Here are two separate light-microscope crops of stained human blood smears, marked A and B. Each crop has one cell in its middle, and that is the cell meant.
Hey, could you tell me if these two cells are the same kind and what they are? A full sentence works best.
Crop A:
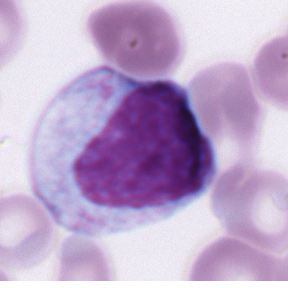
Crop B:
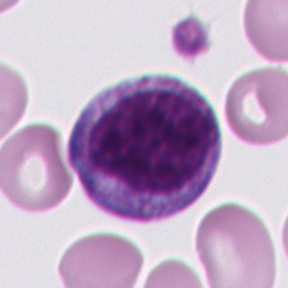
No, crop A depicts a large granular lymphocyte; crop B depicts a myelocyte.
